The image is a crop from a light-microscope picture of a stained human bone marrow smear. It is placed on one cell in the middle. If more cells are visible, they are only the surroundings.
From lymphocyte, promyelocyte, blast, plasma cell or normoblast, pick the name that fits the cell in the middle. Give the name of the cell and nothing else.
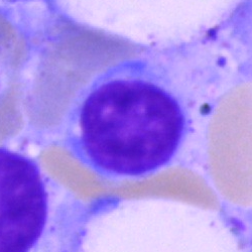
lymphocyte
